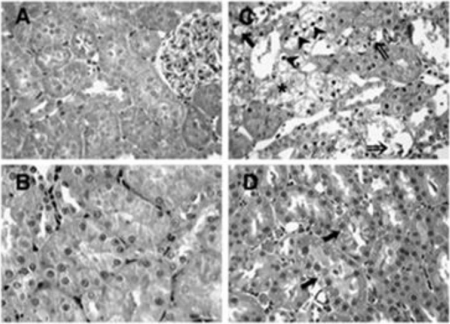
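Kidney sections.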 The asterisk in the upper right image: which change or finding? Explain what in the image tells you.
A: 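Coagulative necrotic cells. The asterisk lies on a pale, disorganised area of tubular epithelium. Distinct nuclei are scarce in this area.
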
